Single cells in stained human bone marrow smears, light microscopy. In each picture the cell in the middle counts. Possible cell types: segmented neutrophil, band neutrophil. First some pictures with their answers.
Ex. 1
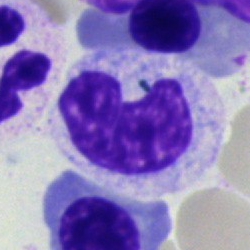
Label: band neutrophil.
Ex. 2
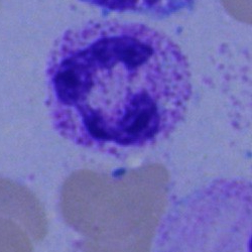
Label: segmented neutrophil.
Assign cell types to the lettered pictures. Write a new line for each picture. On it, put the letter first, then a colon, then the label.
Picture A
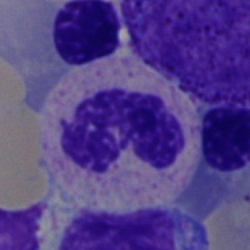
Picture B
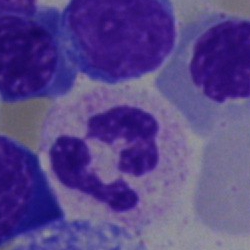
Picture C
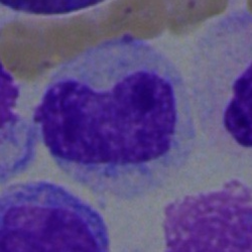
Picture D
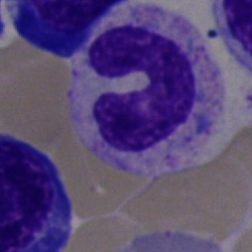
A: segmented neutrophil.
B: segmented neutrophil.
C: band neutrophil.
D: band neutrophil.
